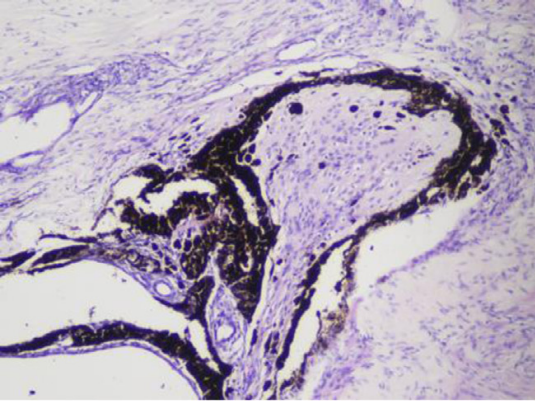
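This field shows pigmented tissue within pale connective stroma. A branching, curving band of cells lines narrow clefts and outlines an oval island of paler fibrous tissue. The cells of this band are packed with dense dark brown to black granular pigment, so heavy that their nuclei are largely hidden, and small dark pigment clumps lie loose at the edge. Away from the band the stroma is lightly stained, with scattered small spindle nuclei and open clear spaces at the left, showing no pigment at all.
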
